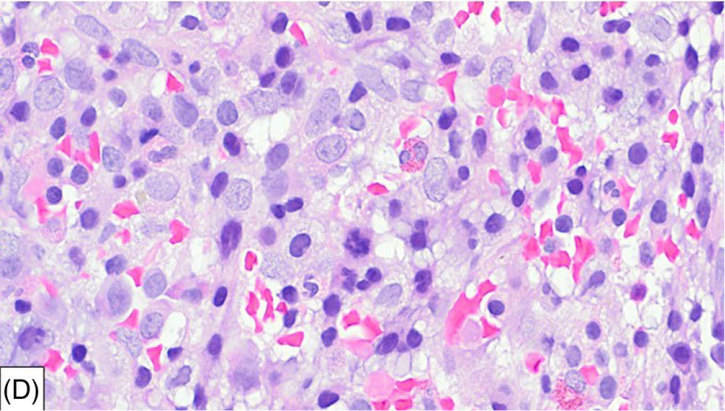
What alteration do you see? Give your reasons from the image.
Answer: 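A cell in the centre has clumped dark condensed chromosomes instead of a round nucleus. So: mitotic figures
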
